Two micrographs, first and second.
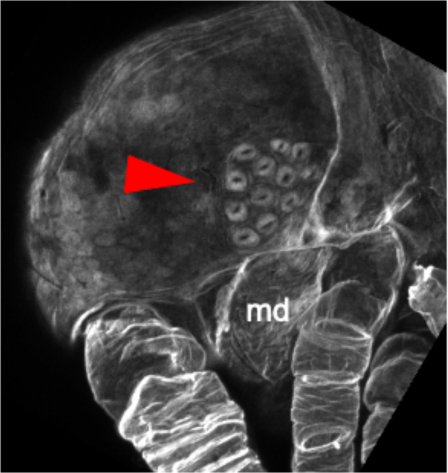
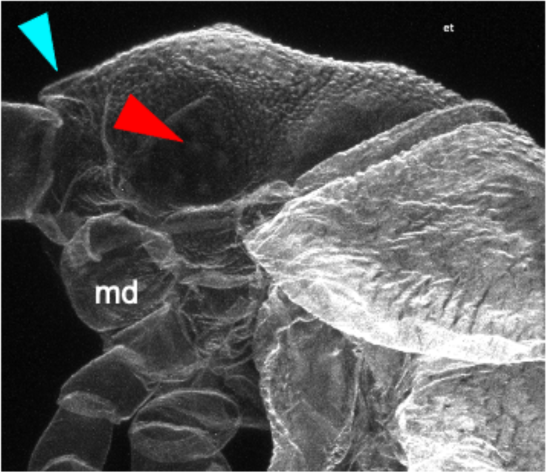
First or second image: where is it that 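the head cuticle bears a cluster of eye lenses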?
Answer: The first image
